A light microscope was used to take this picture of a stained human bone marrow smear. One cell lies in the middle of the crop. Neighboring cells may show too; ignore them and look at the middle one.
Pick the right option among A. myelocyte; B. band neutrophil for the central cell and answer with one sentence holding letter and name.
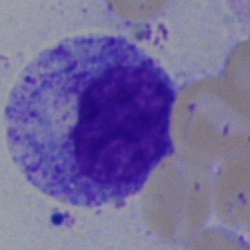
The correct option here is A; the middle cell is a myelocyte.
